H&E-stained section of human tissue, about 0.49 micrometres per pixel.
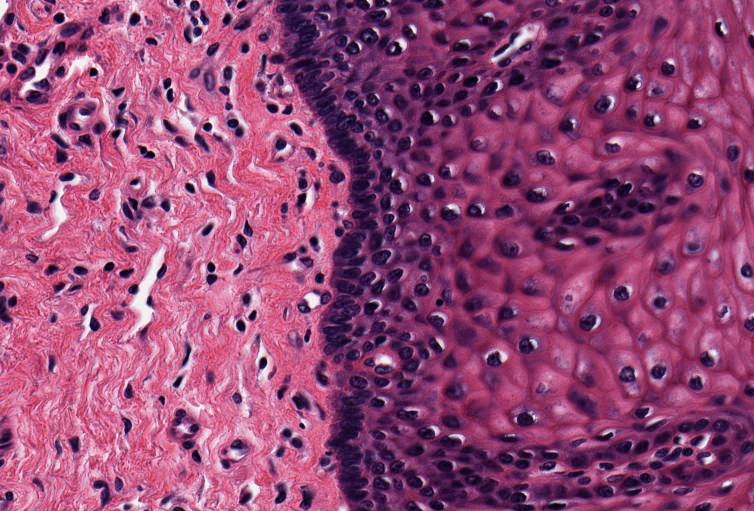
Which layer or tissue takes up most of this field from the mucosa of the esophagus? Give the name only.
stratified squamous nonkeratinized epithelium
